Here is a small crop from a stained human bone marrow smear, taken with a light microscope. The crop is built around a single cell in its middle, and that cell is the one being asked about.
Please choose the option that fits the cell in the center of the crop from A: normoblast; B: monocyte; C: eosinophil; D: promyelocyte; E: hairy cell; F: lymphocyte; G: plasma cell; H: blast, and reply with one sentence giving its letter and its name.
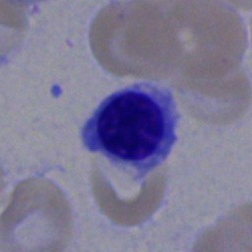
The central cell, a normoblast, is correctly identified by option A.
